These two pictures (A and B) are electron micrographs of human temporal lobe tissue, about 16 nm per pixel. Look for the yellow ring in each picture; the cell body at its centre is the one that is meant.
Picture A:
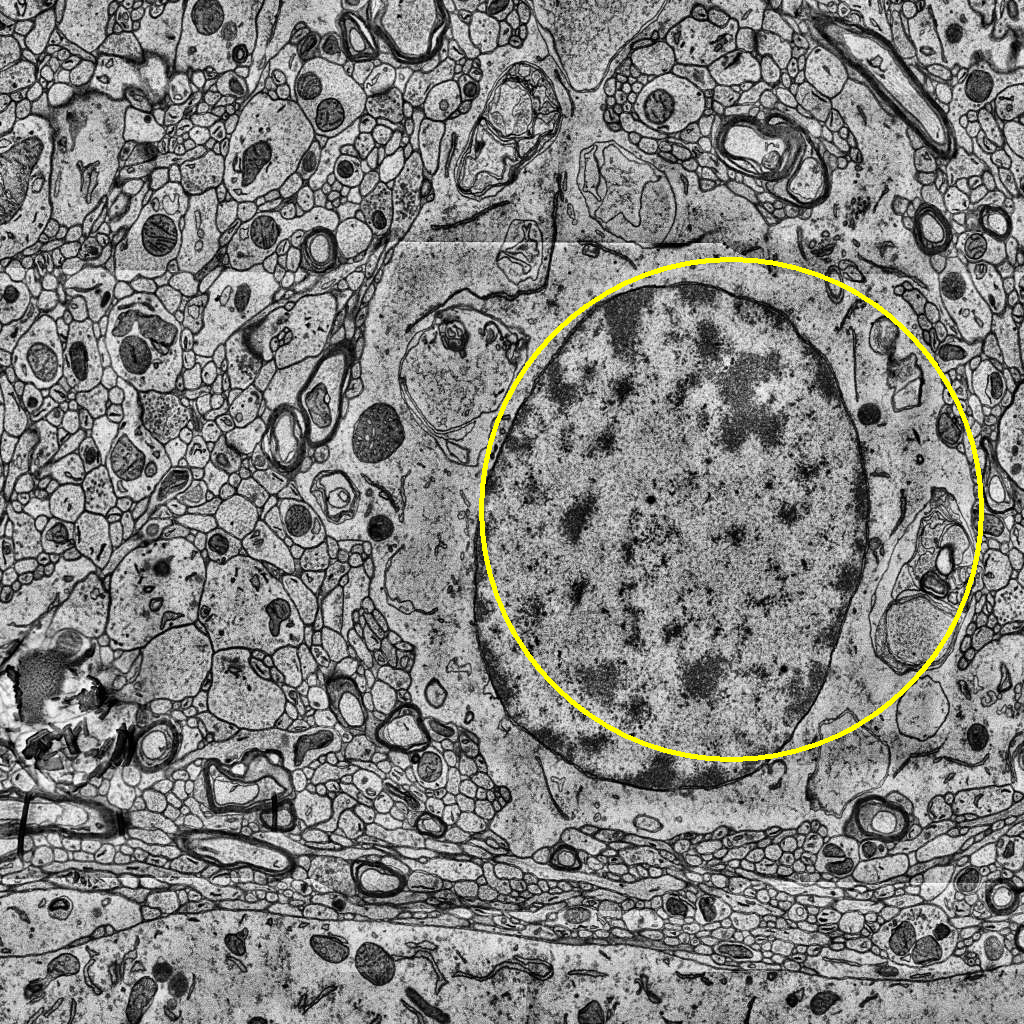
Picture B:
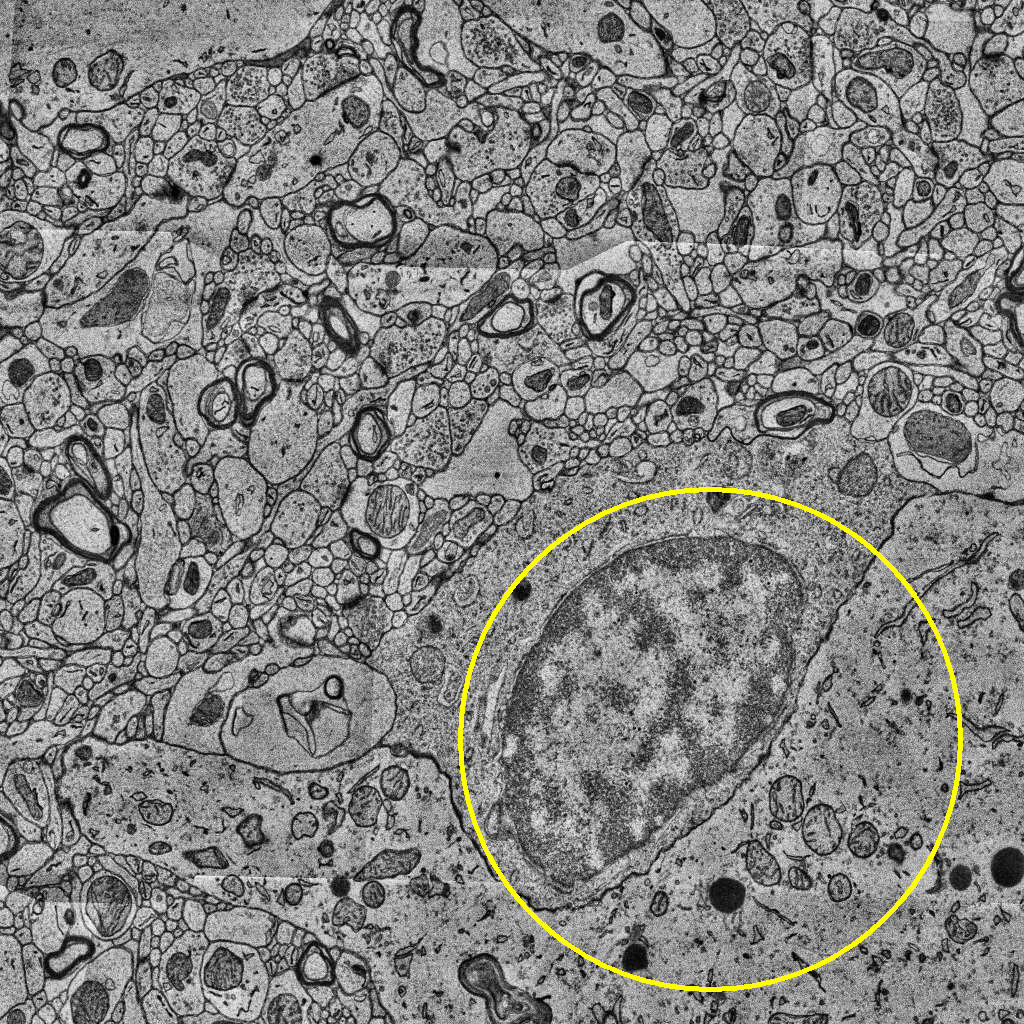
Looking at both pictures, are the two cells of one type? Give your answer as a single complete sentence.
No, picture A shows an astrocyte and picture B shows an oligodendrocyte.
